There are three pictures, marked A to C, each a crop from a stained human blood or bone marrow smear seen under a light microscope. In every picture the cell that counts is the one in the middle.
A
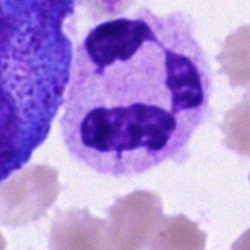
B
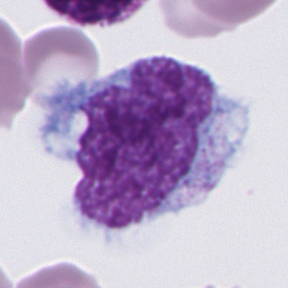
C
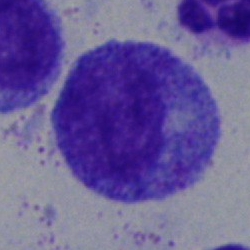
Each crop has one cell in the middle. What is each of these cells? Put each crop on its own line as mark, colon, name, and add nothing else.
A: neutrophil
B: monocyte
C: promyelocyte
